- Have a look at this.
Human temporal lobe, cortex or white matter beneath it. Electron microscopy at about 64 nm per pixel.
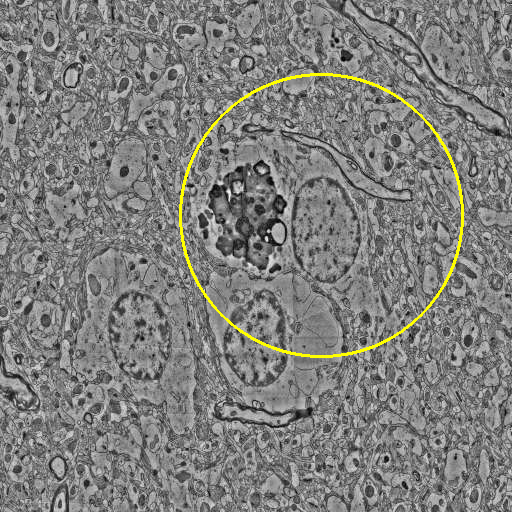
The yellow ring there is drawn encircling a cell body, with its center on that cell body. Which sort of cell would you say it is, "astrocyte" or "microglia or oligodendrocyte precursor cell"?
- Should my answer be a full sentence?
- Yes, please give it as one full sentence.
For this picture, an astrocyte is the cell where the yellow ring has its center.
